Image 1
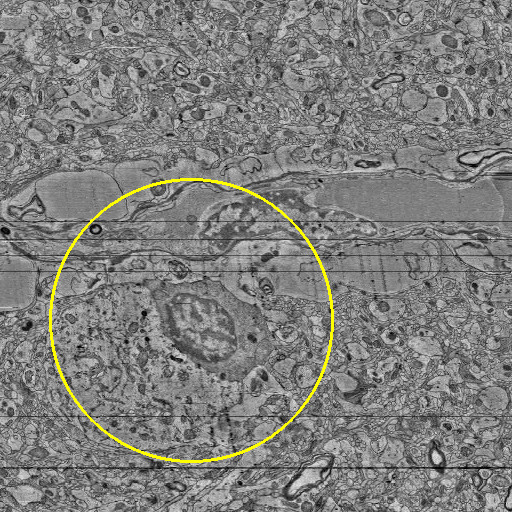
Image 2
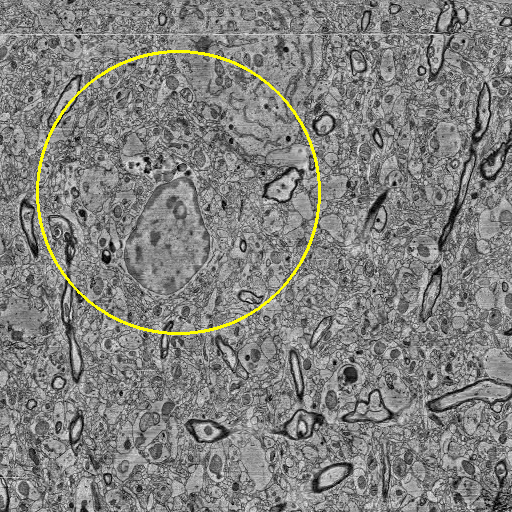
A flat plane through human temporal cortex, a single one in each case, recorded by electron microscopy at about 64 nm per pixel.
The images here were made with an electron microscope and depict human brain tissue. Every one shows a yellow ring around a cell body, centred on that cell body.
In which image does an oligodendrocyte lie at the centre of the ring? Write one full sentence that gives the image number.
My answer is image 1, where the asked-for cell sits at the centre of the ring.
